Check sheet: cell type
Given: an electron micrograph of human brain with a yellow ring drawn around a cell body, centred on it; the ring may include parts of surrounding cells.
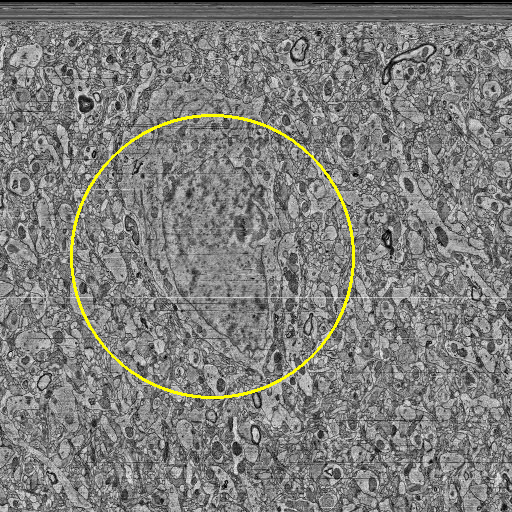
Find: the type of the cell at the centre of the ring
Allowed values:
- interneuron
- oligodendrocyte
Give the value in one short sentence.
Here the ringed cell is an interneuron.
